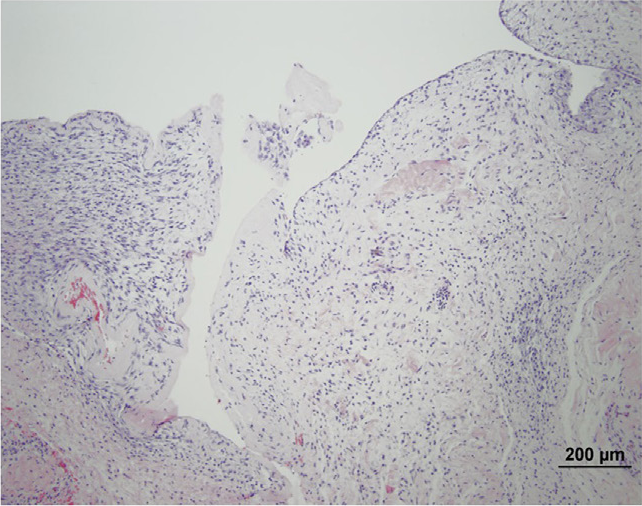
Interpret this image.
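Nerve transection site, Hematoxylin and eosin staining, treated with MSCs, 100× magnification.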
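Pale, homogeneous pink material borders the edges of the cleft, and a small detached cluster of cells lies within it. The tissue on both sides contains numerous cells with elongated or oval purple nuclei scattered in a pale pink matrix, denser toward the left. A small focus of darker, more closely packed nuclei lies in the right fragment. A small vessel with red blood cells is seen in the left fragment.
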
